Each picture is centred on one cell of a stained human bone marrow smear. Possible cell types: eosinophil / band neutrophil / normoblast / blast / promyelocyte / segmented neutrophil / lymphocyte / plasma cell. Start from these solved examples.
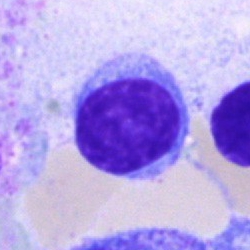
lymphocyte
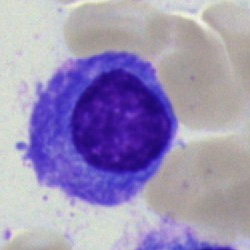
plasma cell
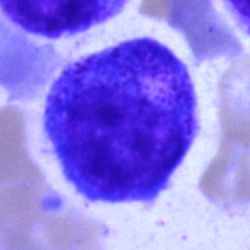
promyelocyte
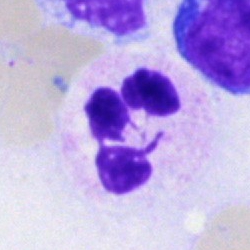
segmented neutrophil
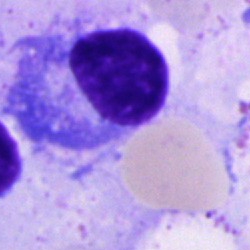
plasma cell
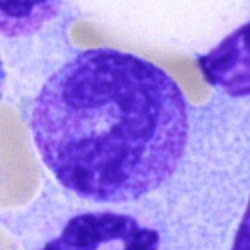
band neutrophil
